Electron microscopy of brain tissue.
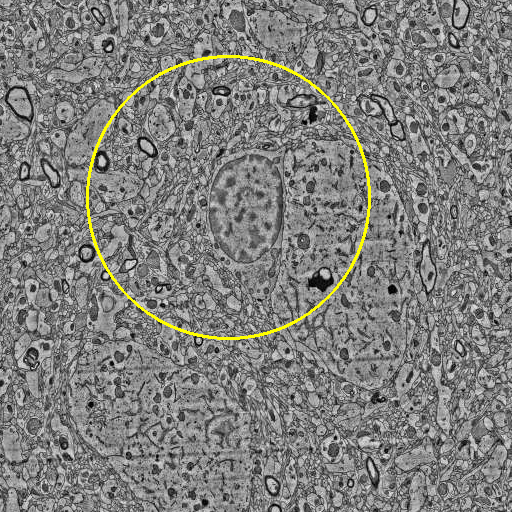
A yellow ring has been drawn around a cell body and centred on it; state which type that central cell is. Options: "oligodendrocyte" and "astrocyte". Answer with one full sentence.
The cell at the middle of the yellow ring is an oligodendrocyte in this picture.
